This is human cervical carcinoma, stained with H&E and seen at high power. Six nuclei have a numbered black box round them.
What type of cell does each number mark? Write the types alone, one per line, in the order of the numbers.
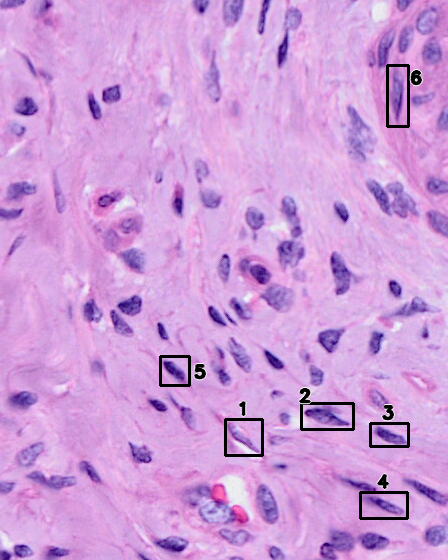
endothelial cell
fibroblast
fibroblast
fibroblast
fibroblast
smooth muscle cell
